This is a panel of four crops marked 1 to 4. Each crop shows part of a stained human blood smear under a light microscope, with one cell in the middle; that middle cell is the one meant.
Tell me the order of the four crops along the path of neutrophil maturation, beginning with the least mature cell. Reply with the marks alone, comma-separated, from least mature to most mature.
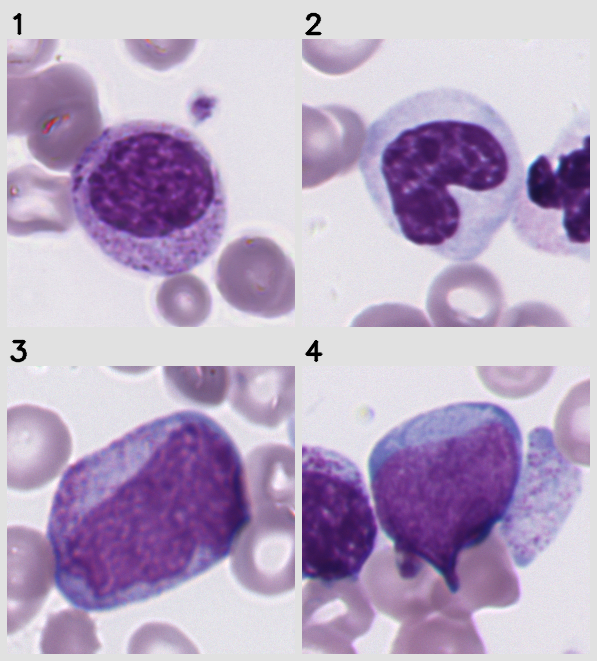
4, 3, 1, 2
